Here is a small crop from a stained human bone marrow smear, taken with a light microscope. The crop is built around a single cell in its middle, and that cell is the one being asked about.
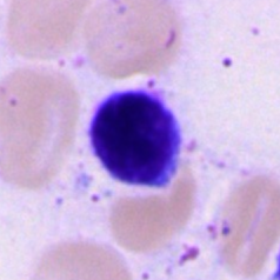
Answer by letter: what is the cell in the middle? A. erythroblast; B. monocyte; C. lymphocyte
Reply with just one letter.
C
